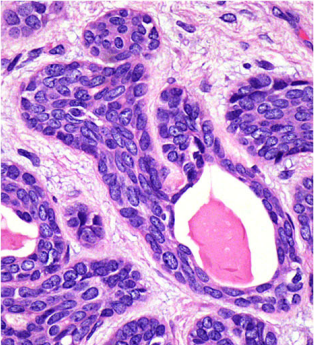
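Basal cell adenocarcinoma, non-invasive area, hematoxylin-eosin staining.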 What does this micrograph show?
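The cells are basaloid: they have oval, fairly dark nuclei with little cytoplasm and are crowded in two or more layers. Between the epithelial cords lies a loose, pale, lightly fibrillar stroma with sparse spindle-shaped nuclei. The overall effect is of tubular, trabecular and solid growth, with the cords branching and anastomosing across the field.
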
